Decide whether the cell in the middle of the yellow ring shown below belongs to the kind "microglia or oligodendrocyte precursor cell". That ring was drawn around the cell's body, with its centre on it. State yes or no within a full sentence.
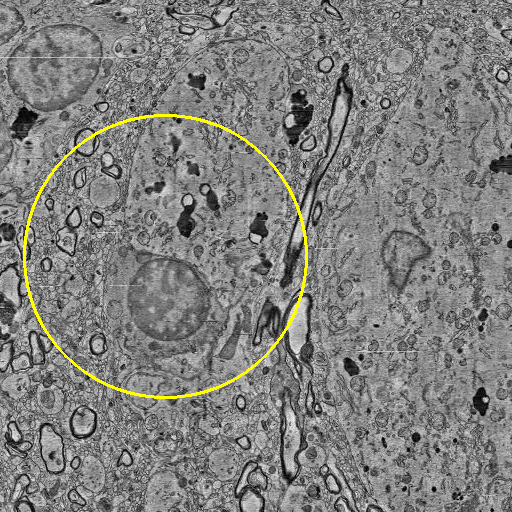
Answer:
No, the cell whose body lies at the ring's centre in the picture belongs to a different kind.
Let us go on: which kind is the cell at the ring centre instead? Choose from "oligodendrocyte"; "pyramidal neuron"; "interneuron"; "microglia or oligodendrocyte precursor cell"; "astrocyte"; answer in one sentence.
What the ring is centred on is an oligodendrocyte.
